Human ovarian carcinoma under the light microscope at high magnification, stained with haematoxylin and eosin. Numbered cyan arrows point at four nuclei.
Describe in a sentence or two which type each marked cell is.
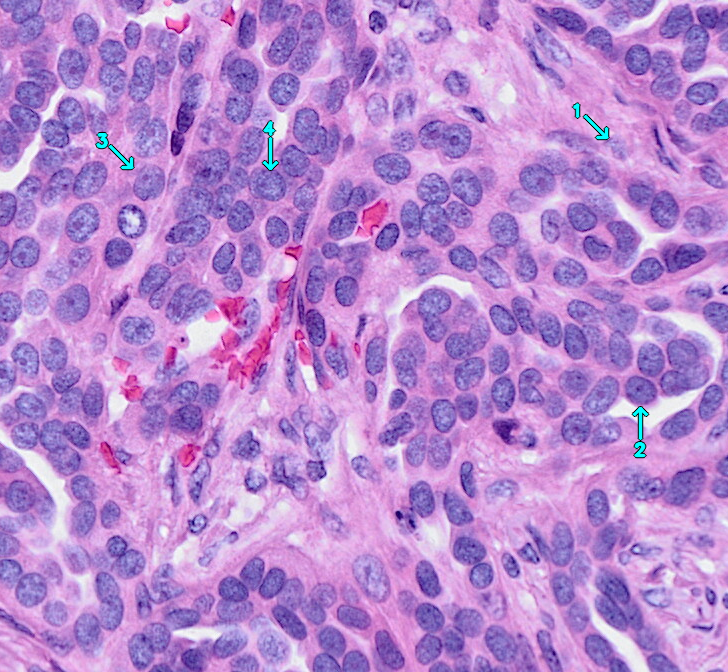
Cell 1 is a fibroblast, cell 2 is a carcinoma cell, cell 3 is a carcinoma cell and cell 4 is a carcinoma cell.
